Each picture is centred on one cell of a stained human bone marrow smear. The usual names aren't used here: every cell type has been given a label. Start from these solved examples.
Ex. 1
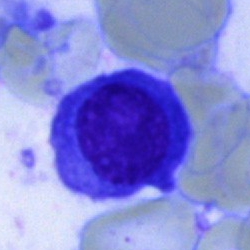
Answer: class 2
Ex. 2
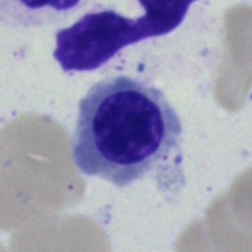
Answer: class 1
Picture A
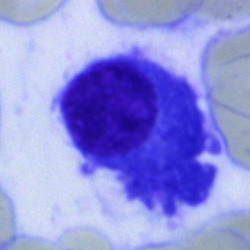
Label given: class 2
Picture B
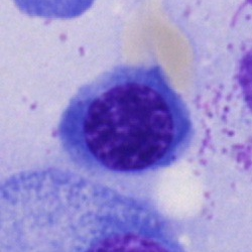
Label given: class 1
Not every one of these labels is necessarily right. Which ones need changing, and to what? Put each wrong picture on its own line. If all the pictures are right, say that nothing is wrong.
No label is wrong.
